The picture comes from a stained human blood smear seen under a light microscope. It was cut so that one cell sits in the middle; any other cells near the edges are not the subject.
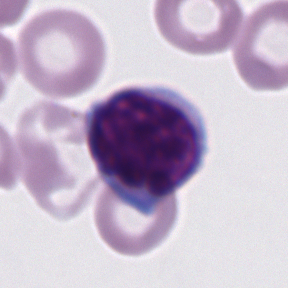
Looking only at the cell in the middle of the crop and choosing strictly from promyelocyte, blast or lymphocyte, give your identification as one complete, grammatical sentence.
The cell centred in this crop is categorized as a lymphocyte.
